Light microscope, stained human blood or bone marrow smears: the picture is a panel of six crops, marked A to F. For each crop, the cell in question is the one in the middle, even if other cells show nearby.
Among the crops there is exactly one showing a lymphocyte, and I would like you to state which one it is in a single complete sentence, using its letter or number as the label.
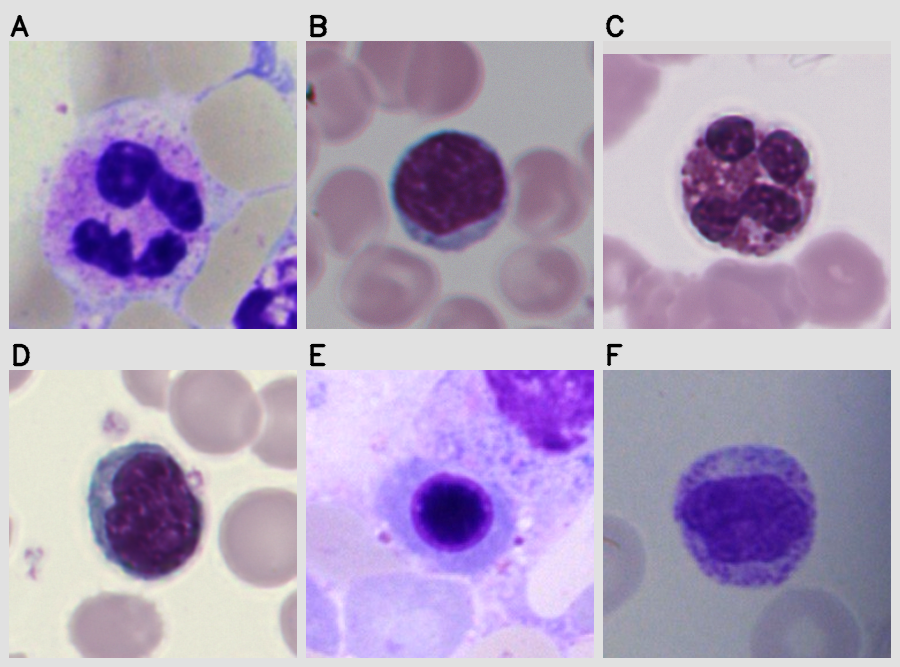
Crop B alone, of all the crops, shows a lymphocyte.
